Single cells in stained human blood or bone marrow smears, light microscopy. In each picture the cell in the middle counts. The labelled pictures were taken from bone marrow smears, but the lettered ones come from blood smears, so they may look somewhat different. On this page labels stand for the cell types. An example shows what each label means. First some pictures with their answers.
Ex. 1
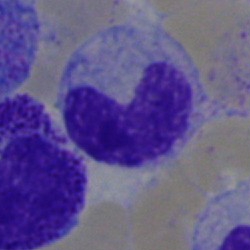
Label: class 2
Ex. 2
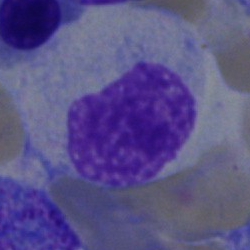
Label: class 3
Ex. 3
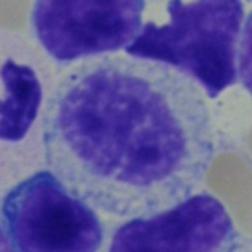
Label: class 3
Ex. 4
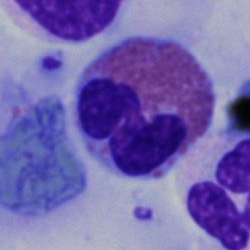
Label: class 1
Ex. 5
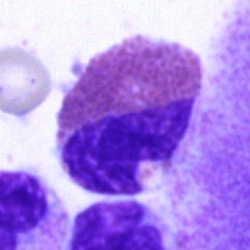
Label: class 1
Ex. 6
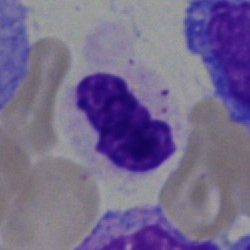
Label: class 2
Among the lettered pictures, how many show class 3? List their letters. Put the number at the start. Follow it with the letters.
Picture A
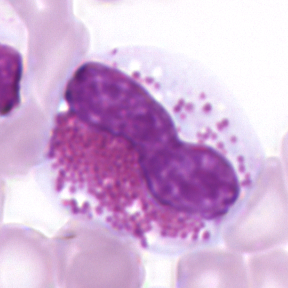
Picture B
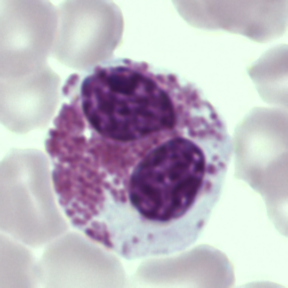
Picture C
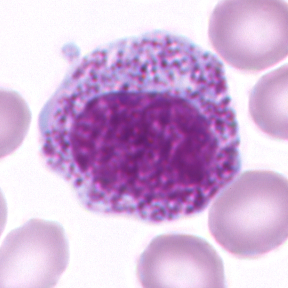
Count: 1 (C)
